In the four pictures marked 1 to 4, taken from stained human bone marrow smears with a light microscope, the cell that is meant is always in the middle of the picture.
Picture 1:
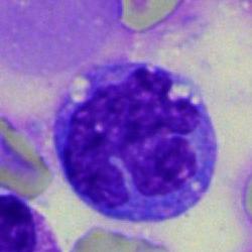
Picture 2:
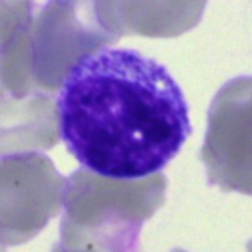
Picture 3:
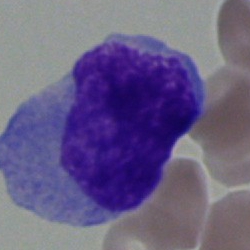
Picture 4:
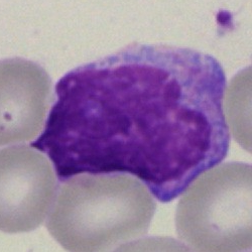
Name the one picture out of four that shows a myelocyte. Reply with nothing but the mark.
2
